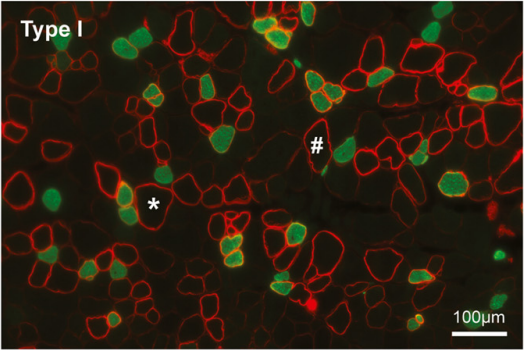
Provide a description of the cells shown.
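This is a cross-section of skeletal muscle, with the muscle fibers cut transversely as polygonal profiles packed side by side. Many fibers are outlined by a bright red ring at their surface, while others show only a faint, dim outline. A scattered minority of fibers are filled with green across their whole cross-section, and several of these also carry the red rim at their edge. Fiber sizes vary, with small rounded fibers lying among larger angular ones.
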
